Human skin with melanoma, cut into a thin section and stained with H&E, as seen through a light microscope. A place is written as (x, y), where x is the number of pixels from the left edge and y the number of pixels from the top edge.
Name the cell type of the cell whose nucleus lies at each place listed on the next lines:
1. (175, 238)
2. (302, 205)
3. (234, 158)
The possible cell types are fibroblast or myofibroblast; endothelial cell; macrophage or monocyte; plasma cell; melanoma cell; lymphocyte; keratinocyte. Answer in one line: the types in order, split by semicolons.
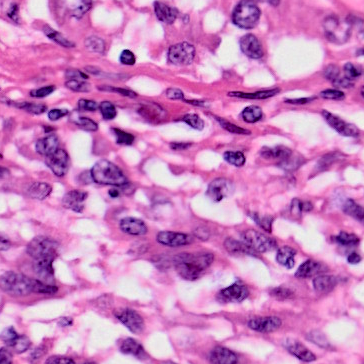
melanoma cell; macrophage or monocyte; lymphocyte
